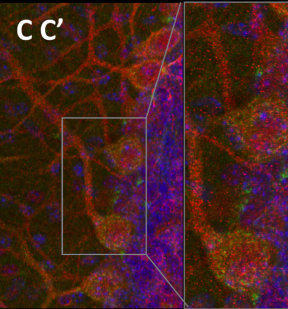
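Cerebellar cortex with Purkinje cells at the junction of the molecular layer and the granular layer. Large rounded Purkinje cell bodies sit beside a band of small blue nuclei. Red branching dendrites spread through the molecular layer. The cell bodies show mixed red and green granular staining, while the dendrites appear mainly red.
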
